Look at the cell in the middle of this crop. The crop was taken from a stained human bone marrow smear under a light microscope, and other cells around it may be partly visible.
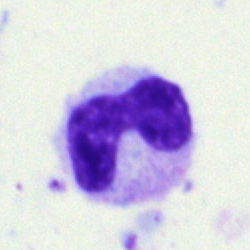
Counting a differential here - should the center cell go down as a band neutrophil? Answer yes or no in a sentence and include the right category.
Yes, the cell right in the middle is a band neutrophil.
